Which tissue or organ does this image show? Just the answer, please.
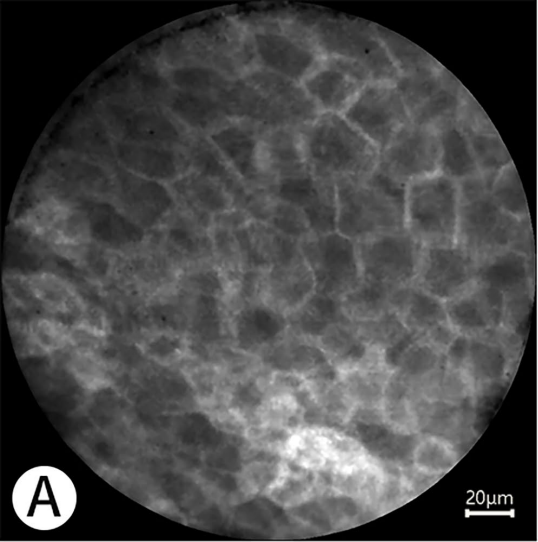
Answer: Squamous epithelium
